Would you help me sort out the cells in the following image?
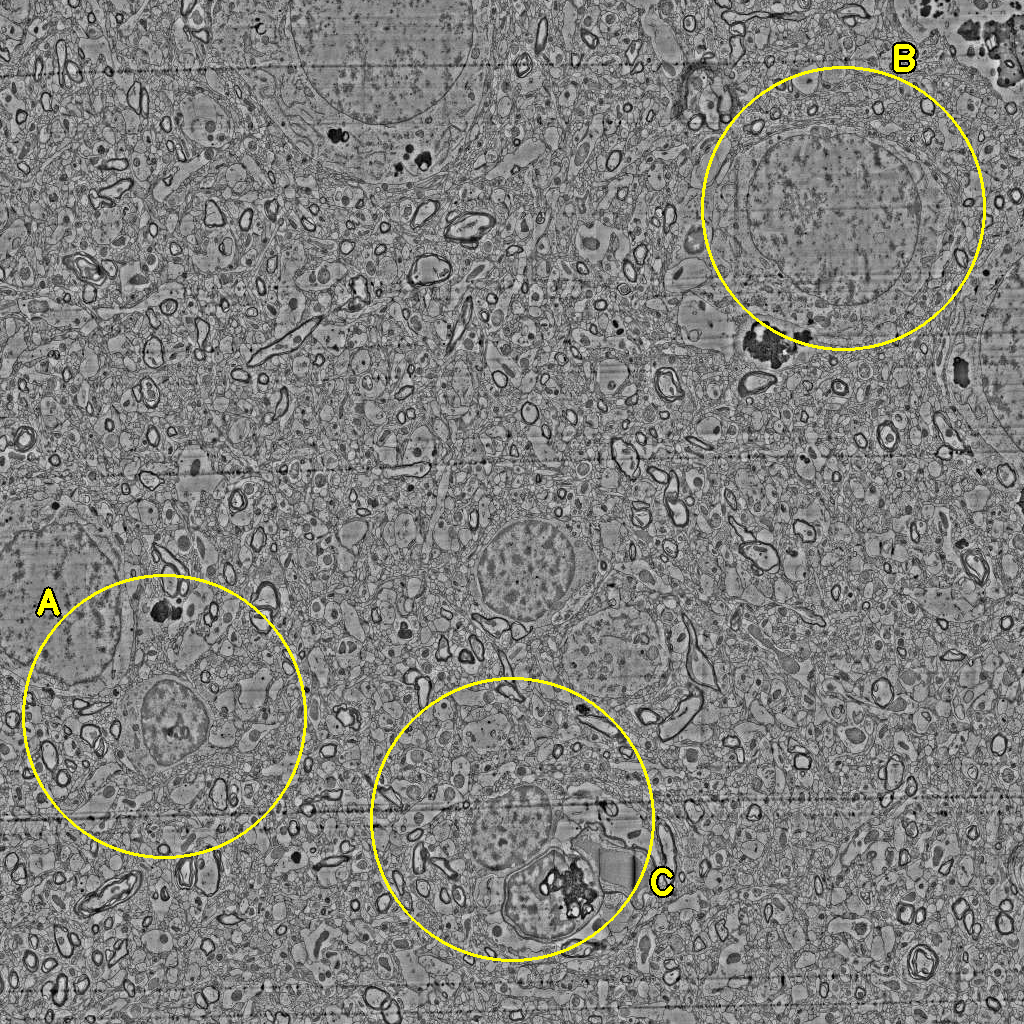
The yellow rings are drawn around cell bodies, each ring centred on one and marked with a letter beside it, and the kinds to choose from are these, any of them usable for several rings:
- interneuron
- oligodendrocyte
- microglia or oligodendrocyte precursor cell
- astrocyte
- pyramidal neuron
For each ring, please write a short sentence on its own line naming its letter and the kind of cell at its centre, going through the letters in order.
Ring A is centred on the cell body of an oligodendrocyte.
Ring B is centred on the cell body of a pyramidal neuron.
Ring C is centred on the cell body of an oligodendrocyte.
